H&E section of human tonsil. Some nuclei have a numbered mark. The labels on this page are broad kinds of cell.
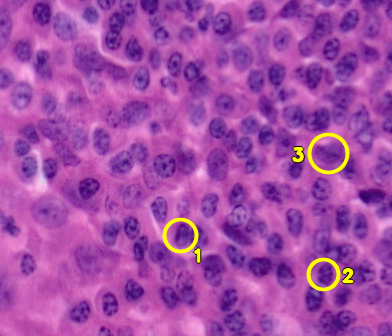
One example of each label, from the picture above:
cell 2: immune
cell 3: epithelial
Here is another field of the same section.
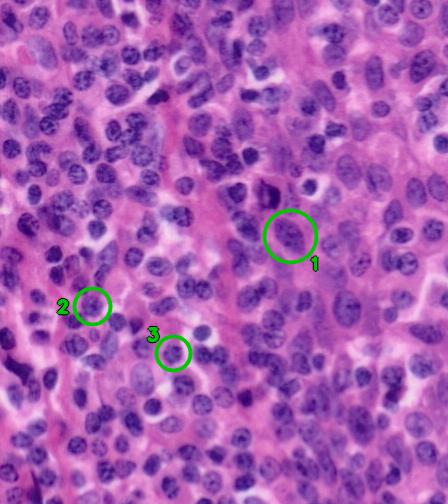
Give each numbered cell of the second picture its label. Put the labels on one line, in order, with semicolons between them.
epithelial; immune; immune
